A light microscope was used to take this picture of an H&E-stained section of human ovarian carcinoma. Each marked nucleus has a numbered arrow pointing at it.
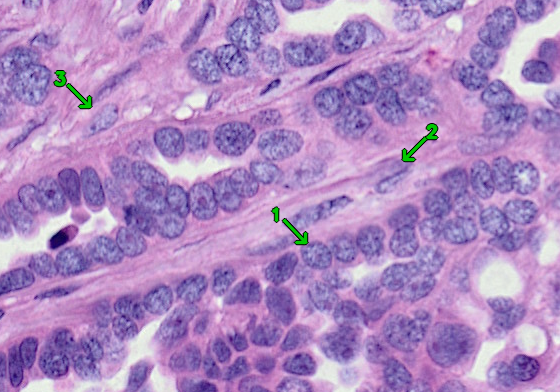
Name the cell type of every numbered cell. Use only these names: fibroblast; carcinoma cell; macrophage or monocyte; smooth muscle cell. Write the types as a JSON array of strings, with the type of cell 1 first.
["carcinoma cell", "fibroblast", "fibroblast"]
